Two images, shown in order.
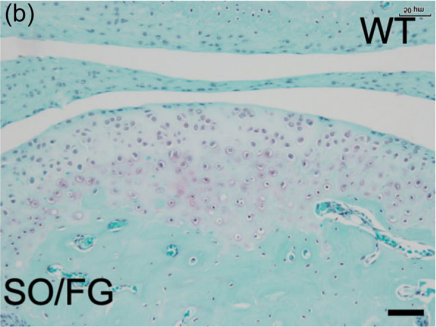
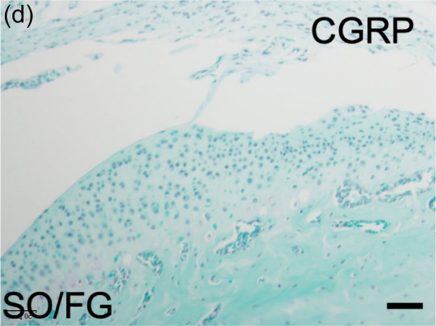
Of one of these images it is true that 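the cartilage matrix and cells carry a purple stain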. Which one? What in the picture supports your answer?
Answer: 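Second image: the cartilage is blue-green throughout with no purple. First image: faint purple-pink tinge around cells in the cartilage layer. That points to this answer: the first image.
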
